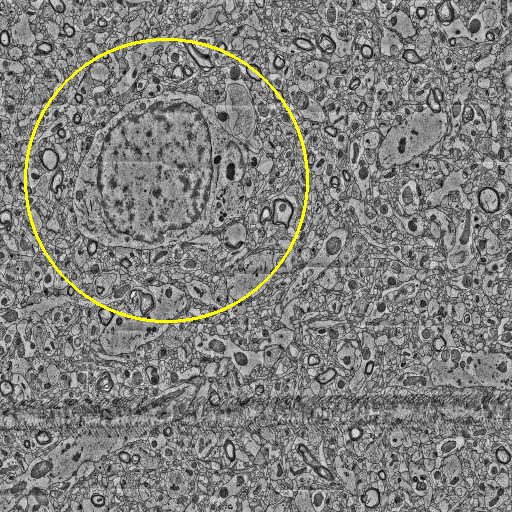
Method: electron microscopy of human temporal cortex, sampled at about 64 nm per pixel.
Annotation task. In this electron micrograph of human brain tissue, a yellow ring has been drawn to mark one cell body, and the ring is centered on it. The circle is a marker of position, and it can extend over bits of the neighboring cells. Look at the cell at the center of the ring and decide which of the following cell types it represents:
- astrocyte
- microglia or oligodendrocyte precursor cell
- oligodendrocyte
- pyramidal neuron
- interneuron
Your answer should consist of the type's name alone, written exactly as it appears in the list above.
interneuron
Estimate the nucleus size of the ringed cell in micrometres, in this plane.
In this plane the nucleus spans approximately 9 by 8 micrometers.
